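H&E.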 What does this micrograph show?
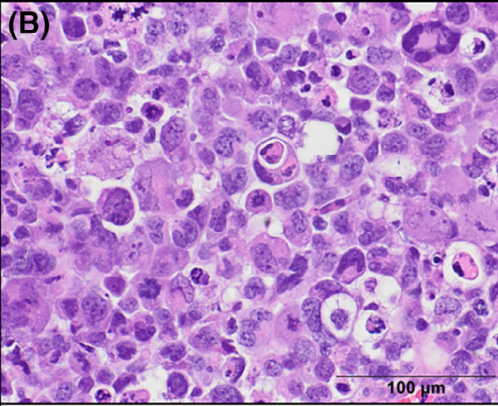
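This is a densely cellular tumor at high power, made of large cells with abundant pink cytoplasm and strikingly pleomorphic nuclei. Several nuclei are huge and irregular, with coarse chromatin and prominent nucleoli, and scattered cells lie within clear spaces with dense fragmented nuclear material.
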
